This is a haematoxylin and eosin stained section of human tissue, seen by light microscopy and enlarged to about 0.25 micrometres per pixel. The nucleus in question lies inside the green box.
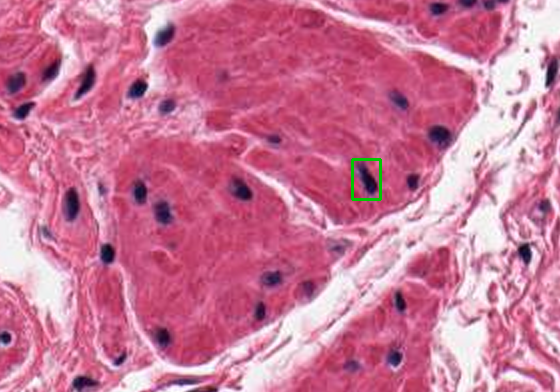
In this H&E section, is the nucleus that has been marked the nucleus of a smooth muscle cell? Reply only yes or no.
yes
